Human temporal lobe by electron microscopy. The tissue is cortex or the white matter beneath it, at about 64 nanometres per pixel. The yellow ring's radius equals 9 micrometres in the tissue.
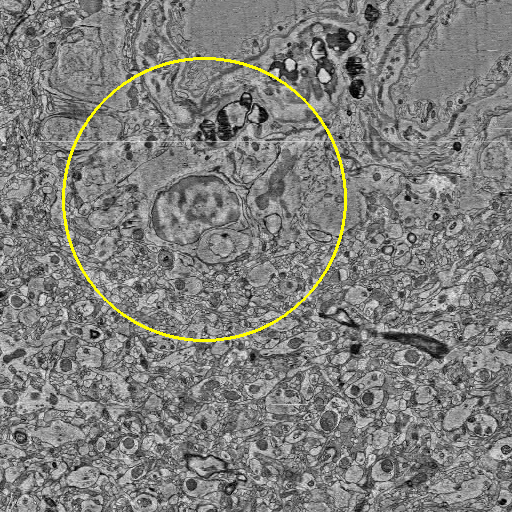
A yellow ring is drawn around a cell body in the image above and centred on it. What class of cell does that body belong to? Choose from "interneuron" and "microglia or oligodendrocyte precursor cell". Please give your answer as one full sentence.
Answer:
The yellow ring above is centred on the cell body of a microglial cell or oligodendrocyte precursor cell.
